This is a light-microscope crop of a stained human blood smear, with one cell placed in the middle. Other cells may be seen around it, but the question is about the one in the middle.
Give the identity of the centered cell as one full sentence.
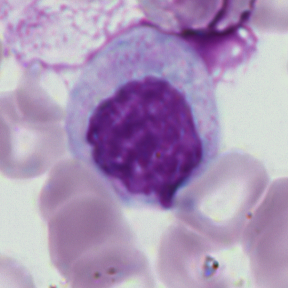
In the middle of this smear crop is a myelocyte.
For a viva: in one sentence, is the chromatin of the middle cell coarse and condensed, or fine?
The chromatin in this nucleus is coarsely clumped.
